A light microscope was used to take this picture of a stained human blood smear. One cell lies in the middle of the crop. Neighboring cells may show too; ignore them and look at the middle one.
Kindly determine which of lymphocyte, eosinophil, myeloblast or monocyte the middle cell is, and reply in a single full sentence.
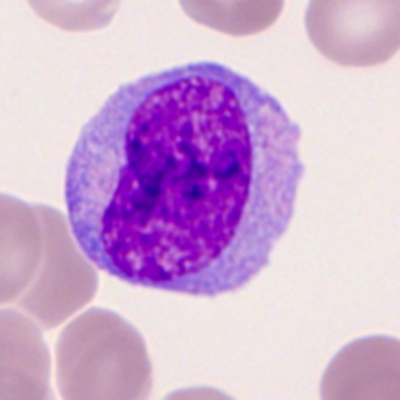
The cell of interest, located centrally, is a monocyte.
